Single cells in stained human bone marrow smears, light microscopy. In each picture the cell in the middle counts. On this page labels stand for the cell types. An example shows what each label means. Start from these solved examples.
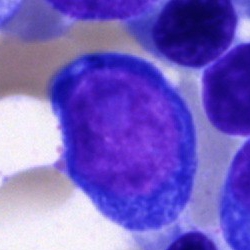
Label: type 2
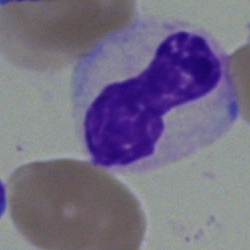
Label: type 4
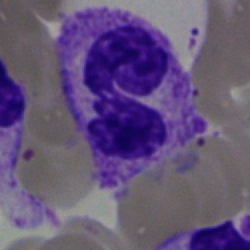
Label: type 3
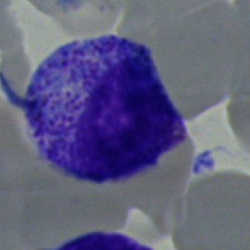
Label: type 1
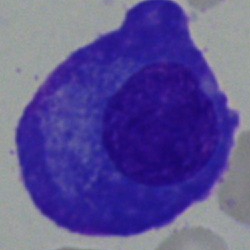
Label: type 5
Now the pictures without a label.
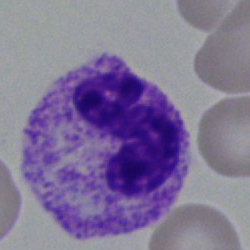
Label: type 3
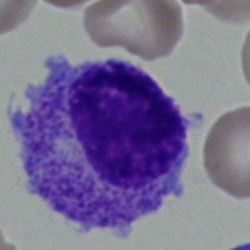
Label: type 1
